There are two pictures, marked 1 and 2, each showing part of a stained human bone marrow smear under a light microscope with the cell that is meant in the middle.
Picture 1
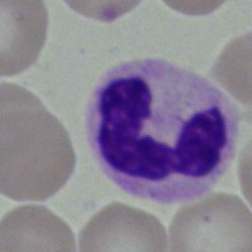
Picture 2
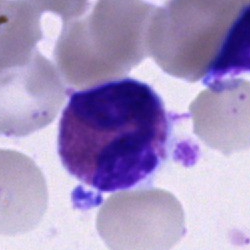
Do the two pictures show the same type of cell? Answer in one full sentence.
No, the types are not the same, since picture 1 shows a segmented neutrophil and picture 2 an eosinophil.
